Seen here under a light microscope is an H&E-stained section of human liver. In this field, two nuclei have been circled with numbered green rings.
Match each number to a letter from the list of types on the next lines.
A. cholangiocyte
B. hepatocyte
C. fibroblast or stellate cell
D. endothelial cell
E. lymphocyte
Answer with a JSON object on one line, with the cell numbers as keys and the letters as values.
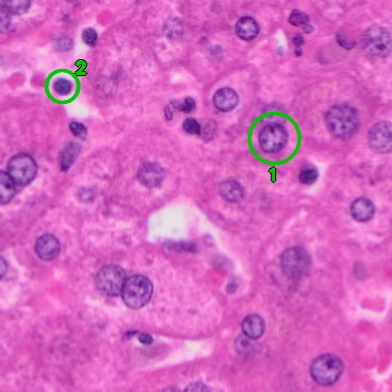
{"1": "B", "2": "E"}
